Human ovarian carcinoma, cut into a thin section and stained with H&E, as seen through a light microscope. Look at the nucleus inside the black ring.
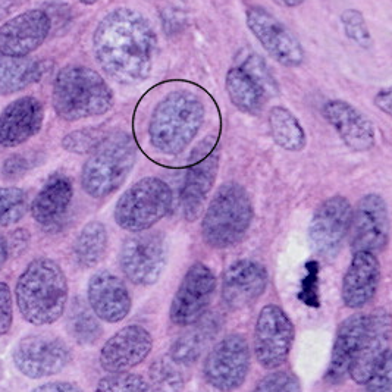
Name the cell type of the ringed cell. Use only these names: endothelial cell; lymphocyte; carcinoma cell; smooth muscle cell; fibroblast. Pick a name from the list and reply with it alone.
carcinoma cell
